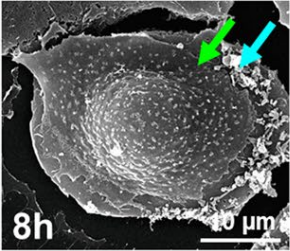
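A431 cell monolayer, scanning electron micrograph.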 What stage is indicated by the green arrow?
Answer: cell spreading over the apical surface of the substrate-attached cell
